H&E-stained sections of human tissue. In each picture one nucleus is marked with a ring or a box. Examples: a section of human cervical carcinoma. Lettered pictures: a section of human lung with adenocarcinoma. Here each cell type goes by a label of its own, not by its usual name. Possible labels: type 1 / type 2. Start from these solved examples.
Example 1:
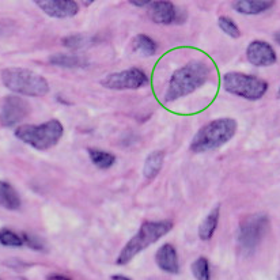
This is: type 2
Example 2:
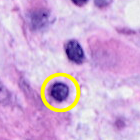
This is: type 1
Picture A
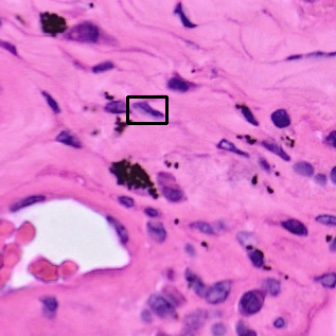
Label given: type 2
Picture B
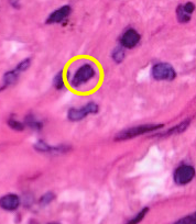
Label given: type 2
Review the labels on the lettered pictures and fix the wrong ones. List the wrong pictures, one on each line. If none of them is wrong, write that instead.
B is labelled type 2; correct label: type 1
